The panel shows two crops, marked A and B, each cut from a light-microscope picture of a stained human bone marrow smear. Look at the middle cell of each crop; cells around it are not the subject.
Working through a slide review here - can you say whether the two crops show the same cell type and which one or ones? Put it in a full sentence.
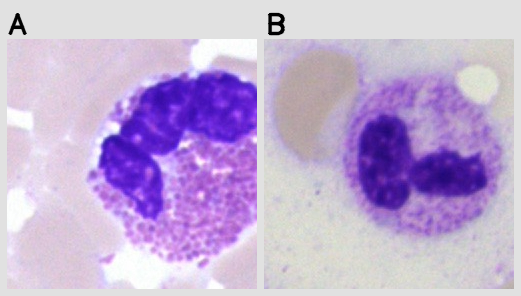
No, crop B holds a segmented neutrophil, while crop A holds an eosinophil.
